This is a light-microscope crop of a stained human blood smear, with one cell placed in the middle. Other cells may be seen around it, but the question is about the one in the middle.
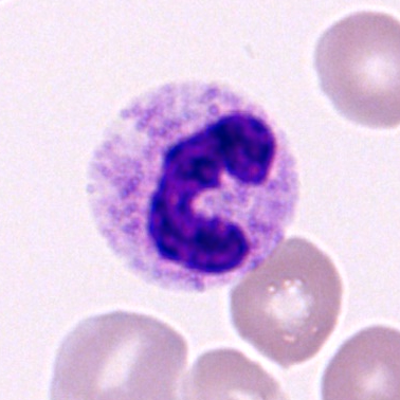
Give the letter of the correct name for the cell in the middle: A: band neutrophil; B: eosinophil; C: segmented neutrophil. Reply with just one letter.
A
